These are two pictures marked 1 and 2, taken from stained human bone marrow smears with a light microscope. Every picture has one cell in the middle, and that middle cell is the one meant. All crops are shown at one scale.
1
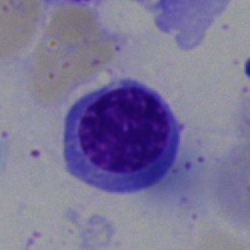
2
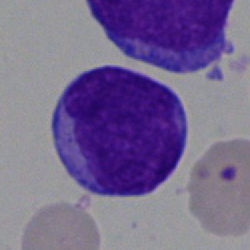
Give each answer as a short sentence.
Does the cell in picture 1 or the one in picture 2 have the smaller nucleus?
Picture 1 shows the smaller nucleus, since that in picture 2 covers about 2 times as much area.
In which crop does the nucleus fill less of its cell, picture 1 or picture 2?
It is the cell in picture 1 that is filled less by its nucleus.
